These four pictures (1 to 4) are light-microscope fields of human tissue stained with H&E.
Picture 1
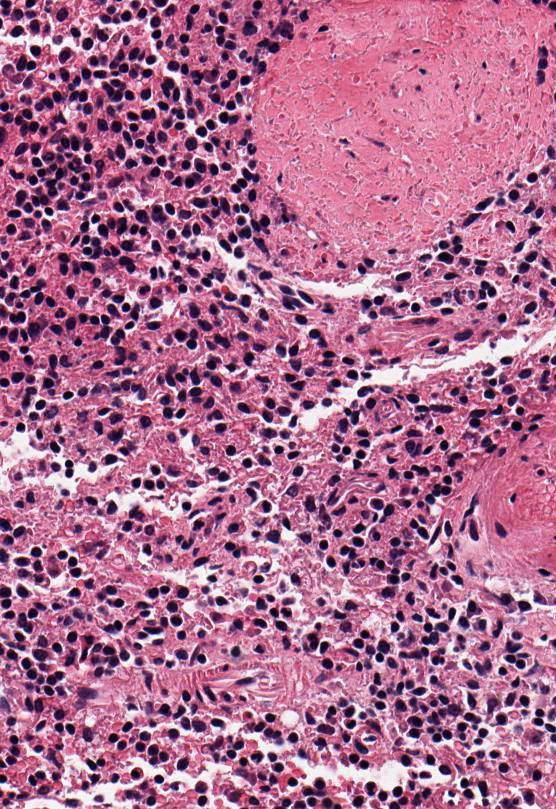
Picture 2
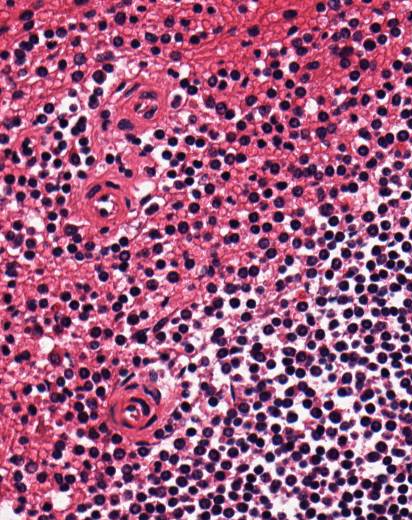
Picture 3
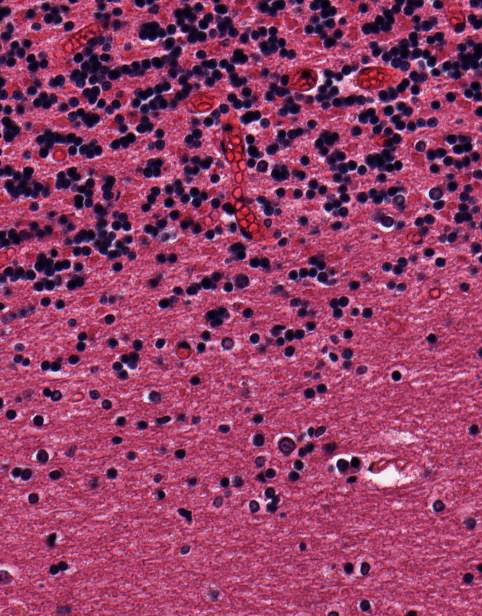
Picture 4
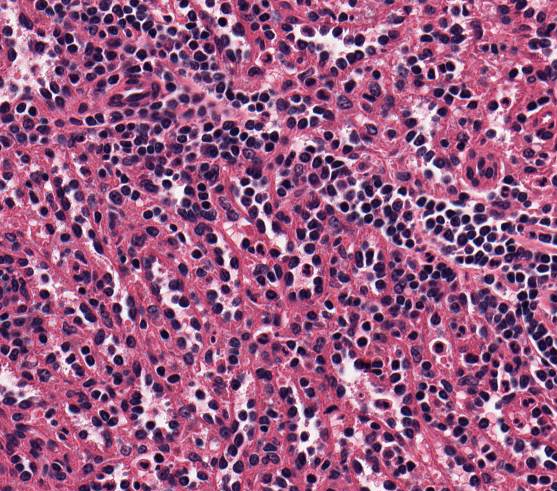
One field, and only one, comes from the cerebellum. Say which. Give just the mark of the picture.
3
